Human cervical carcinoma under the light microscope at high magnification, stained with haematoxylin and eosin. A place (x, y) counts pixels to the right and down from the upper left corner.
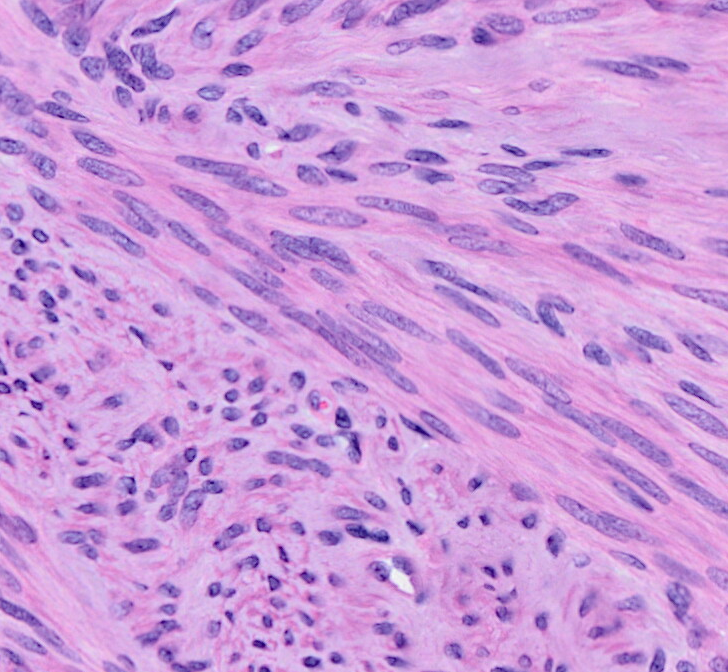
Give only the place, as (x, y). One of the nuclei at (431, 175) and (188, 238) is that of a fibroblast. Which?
(431, 175)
